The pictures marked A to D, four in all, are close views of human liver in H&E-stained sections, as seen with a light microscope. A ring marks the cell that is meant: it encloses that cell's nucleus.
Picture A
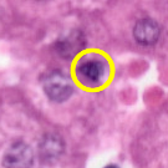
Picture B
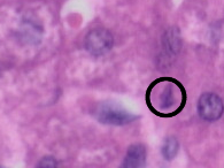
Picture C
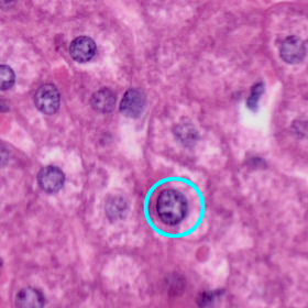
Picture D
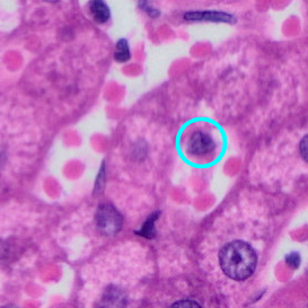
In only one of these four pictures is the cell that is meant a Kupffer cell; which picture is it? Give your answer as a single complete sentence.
It is picture D that shows the Kupffer cell.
